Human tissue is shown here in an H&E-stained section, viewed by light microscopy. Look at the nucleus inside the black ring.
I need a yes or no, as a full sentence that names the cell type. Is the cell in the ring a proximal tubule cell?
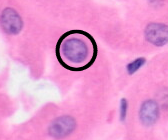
Yes, where cell type is concerned, the cell in the ring is a proximal tubule cell.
